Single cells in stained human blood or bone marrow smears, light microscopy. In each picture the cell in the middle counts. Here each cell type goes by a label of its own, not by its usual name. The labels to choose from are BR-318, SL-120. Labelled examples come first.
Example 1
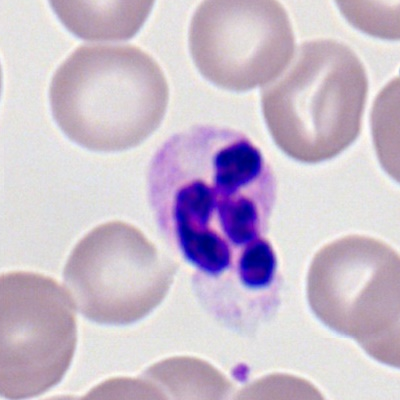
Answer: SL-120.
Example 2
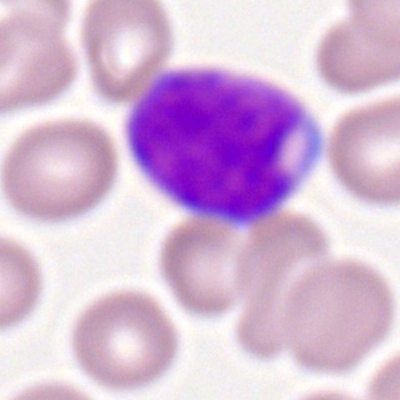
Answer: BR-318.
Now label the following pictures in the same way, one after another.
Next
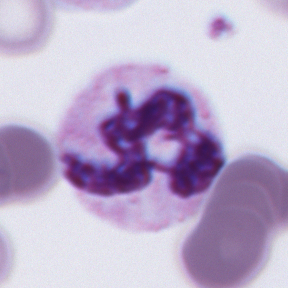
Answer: SL-120.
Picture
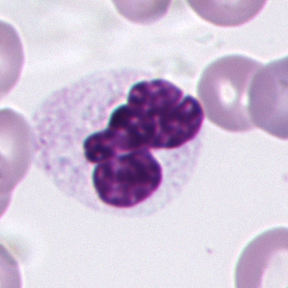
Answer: SL-120.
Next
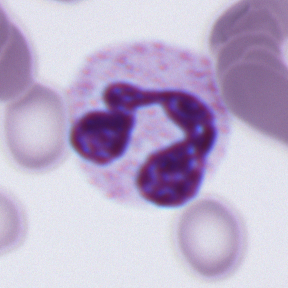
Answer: SL-120.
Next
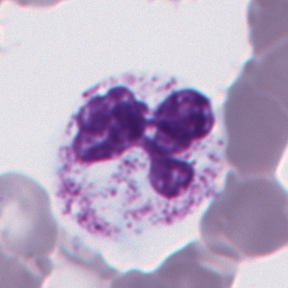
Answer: SL-120.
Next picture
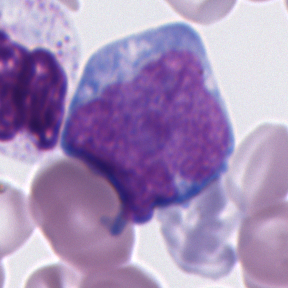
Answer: BR-318.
